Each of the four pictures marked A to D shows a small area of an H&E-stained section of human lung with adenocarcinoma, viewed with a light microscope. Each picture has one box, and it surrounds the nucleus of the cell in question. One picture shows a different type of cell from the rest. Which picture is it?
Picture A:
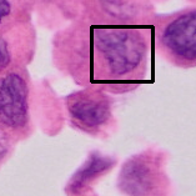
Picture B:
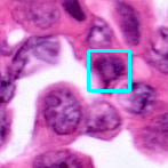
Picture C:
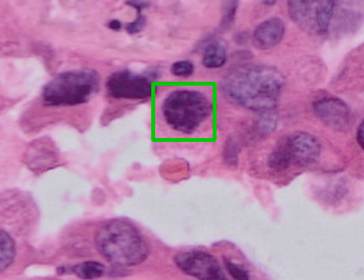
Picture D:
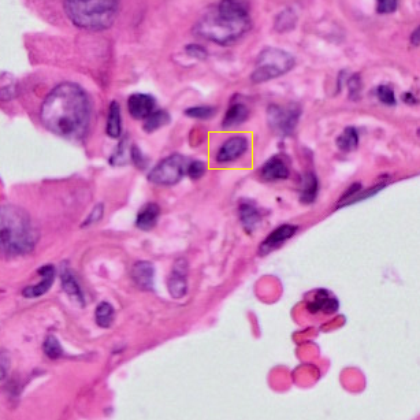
D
